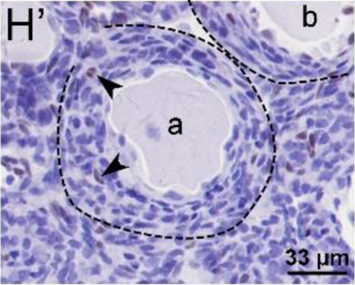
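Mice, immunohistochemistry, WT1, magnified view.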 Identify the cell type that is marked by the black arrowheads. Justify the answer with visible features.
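Granulosa cells. The arrowheads point to cells in the layers lining the pale central oocyte space. Most surrounding cells have blue nuclei only.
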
